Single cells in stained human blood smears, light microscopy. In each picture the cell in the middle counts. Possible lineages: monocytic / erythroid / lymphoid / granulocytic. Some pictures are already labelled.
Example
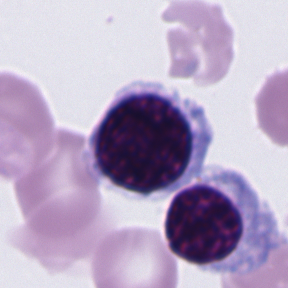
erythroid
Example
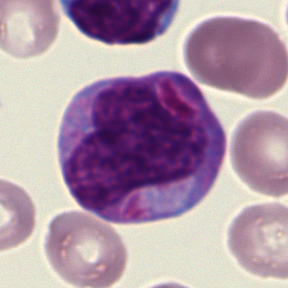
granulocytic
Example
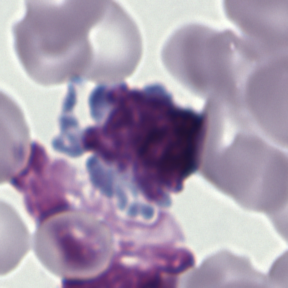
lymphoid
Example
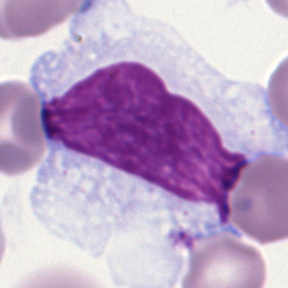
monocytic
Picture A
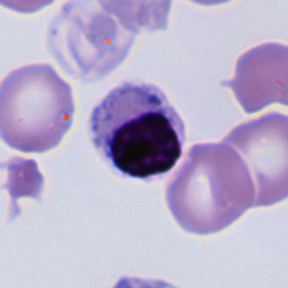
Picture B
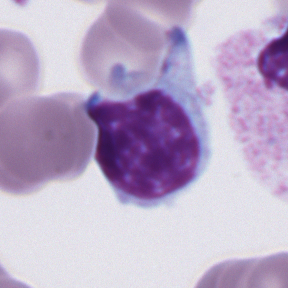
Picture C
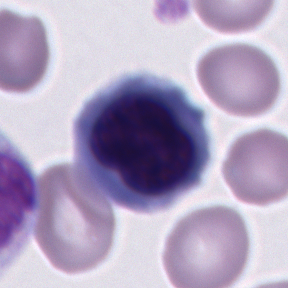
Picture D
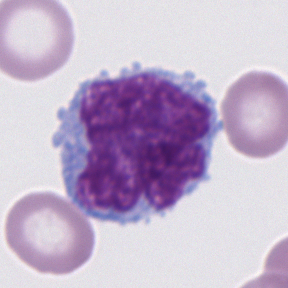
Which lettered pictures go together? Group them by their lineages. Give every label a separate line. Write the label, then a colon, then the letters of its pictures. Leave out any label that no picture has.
monocytic: D
erythroid: A, C
lymphoid: B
